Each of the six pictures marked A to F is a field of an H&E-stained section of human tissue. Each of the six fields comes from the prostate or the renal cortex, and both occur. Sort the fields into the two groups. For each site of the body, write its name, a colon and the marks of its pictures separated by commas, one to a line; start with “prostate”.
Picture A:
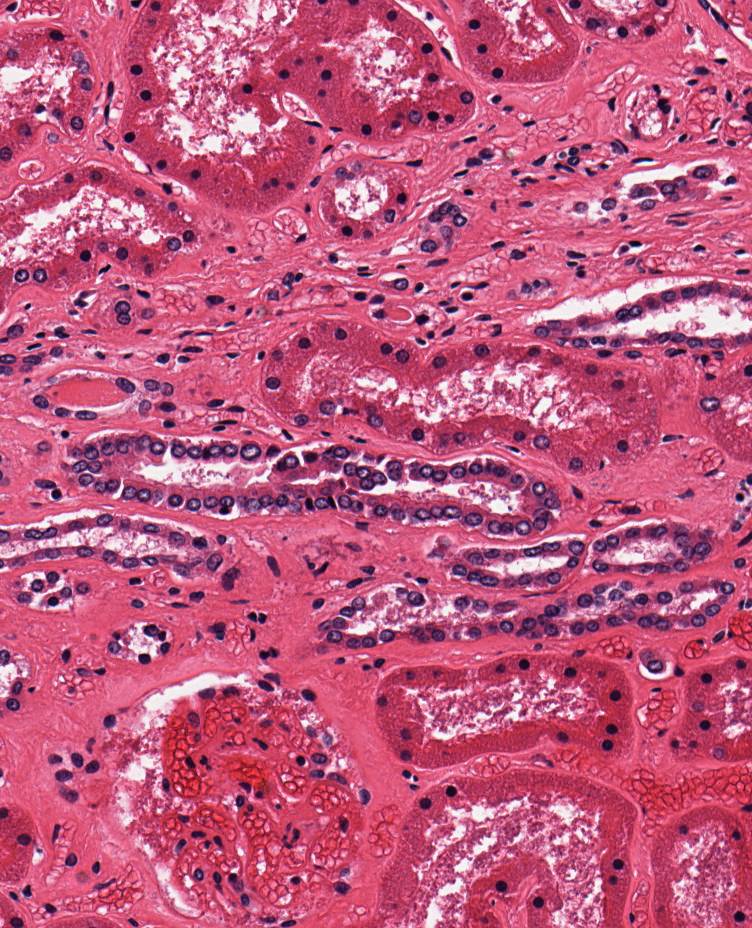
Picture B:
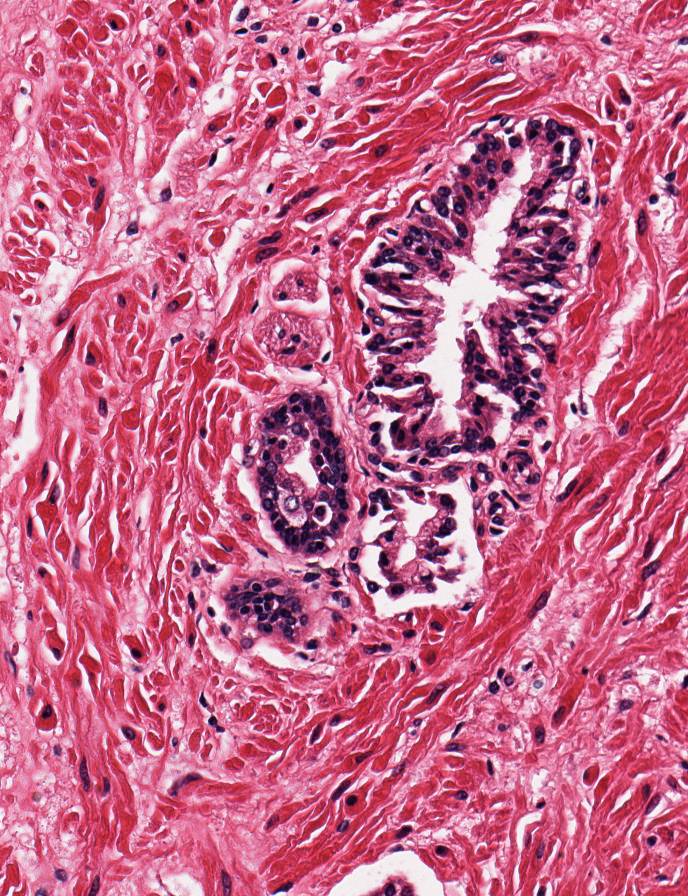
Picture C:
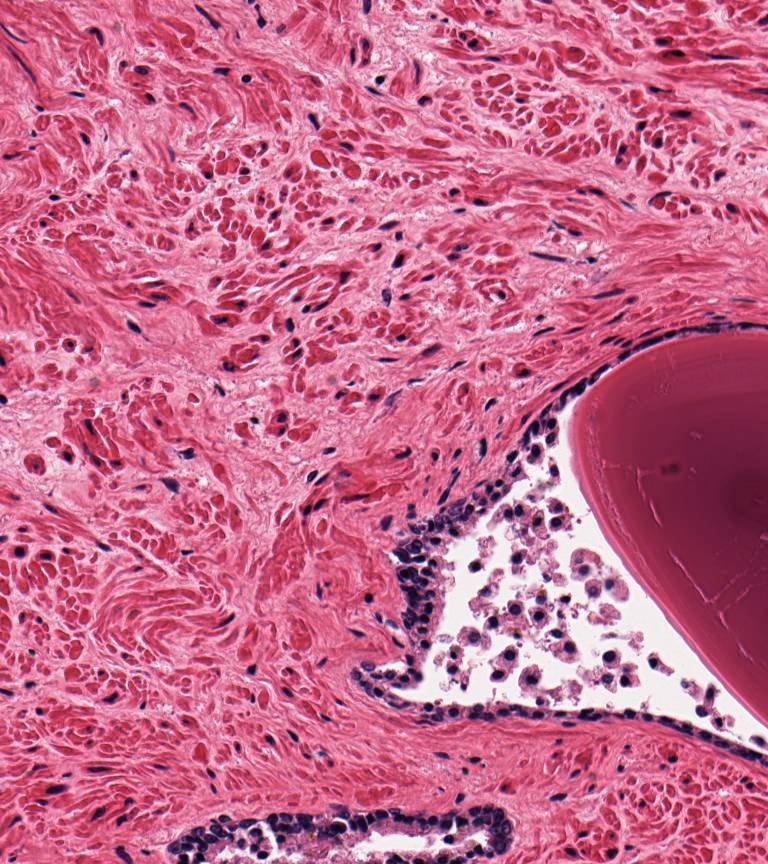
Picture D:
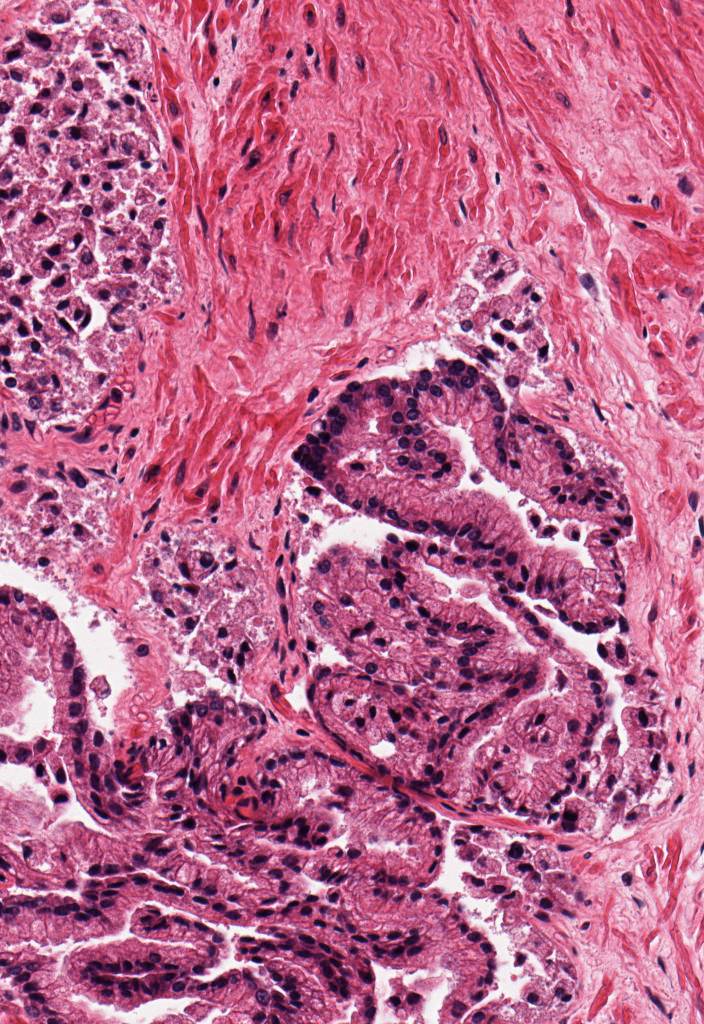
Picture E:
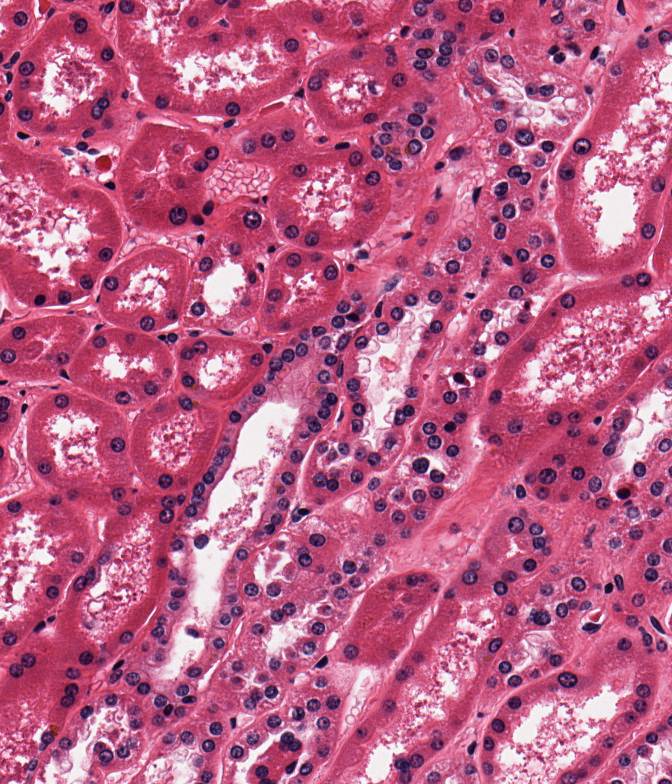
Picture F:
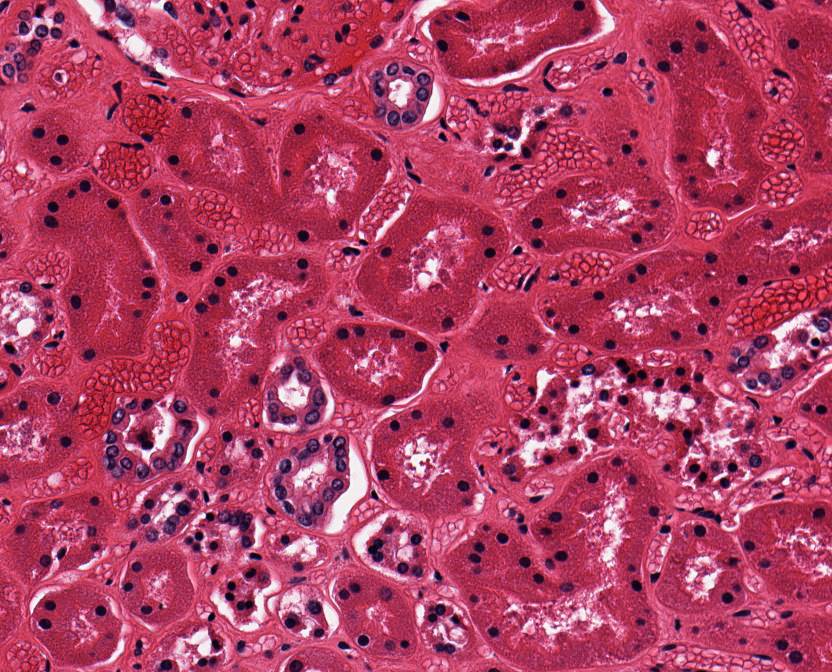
prostate: B, C, D
renal cortex: A, E, F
